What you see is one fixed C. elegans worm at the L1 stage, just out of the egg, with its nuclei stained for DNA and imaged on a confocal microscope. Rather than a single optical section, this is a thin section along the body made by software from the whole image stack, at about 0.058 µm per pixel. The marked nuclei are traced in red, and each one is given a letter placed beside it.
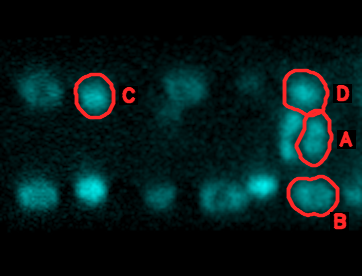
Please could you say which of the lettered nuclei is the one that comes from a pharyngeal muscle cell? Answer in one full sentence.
Of the marked nuclei, A is the one in a pharyngeal muscle cell.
